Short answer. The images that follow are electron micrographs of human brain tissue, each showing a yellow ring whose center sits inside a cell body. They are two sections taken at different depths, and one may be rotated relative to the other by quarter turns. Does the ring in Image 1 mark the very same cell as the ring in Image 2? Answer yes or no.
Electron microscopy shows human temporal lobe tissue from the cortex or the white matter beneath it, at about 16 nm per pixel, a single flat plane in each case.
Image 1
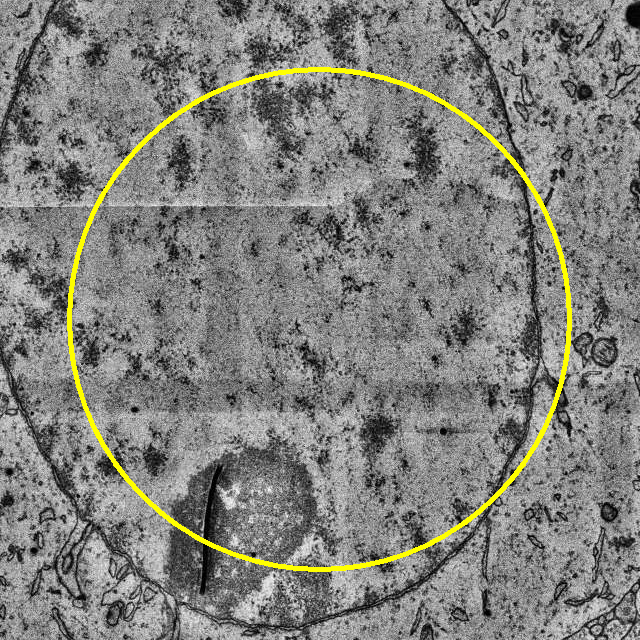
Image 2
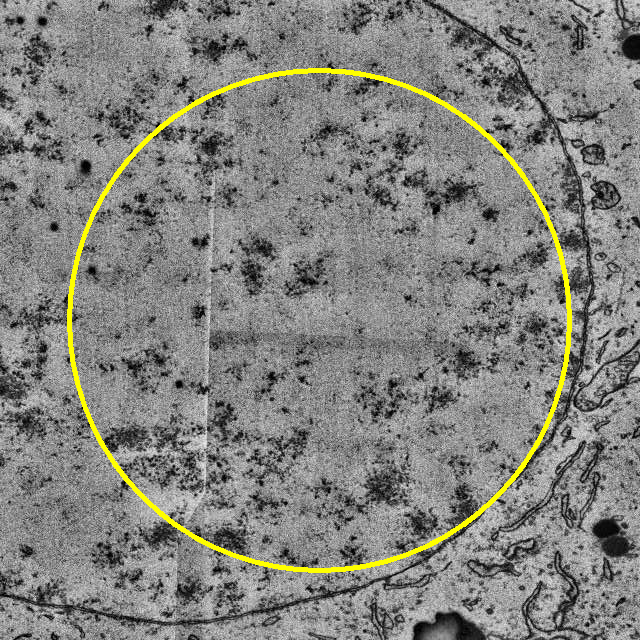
no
